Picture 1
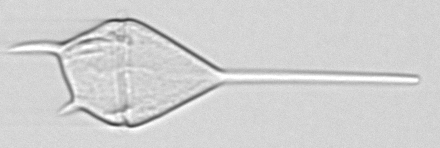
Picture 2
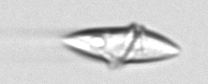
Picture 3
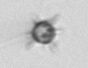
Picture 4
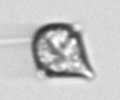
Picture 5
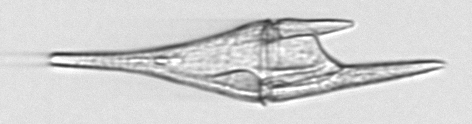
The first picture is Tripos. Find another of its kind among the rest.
Picture 5.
